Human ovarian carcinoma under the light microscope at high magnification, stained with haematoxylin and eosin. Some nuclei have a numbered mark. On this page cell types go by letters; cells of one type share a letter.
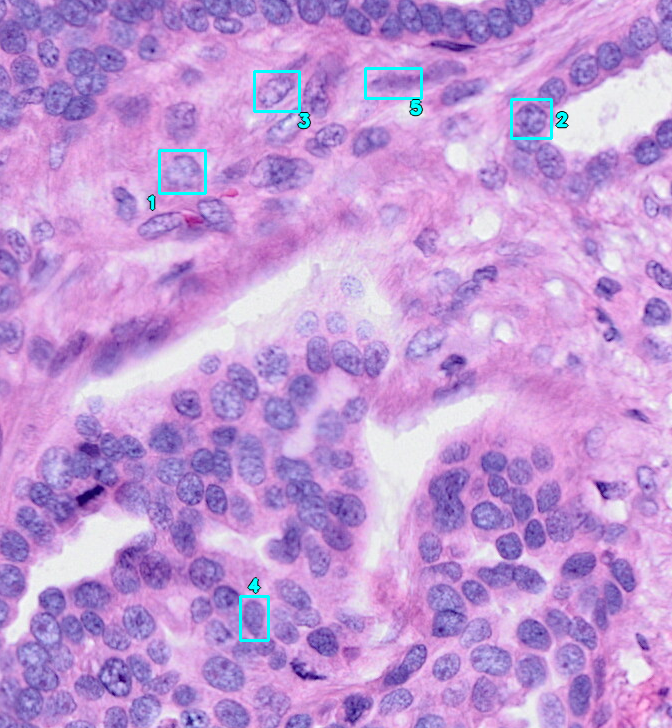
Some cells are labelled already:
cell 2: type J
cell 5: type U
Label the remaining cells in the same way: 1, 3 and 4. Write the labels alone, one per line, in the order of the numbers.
type U
type U
type J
